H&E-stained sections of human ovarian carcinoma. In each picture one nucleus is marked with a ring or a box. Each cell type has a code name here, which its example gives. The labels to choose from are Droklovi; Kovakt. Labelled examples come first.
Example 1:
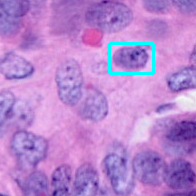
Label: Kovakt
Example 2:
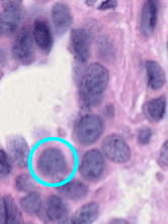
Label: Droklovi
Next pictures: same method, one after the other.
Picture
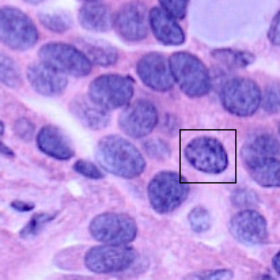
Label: Kovakt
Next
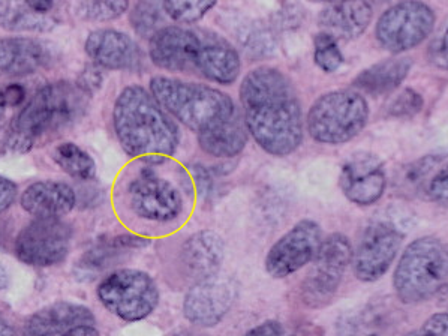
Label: Kovakt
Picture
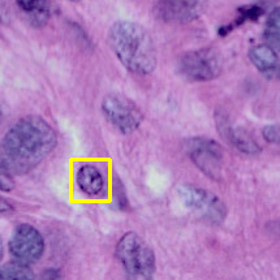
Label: Kovakt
